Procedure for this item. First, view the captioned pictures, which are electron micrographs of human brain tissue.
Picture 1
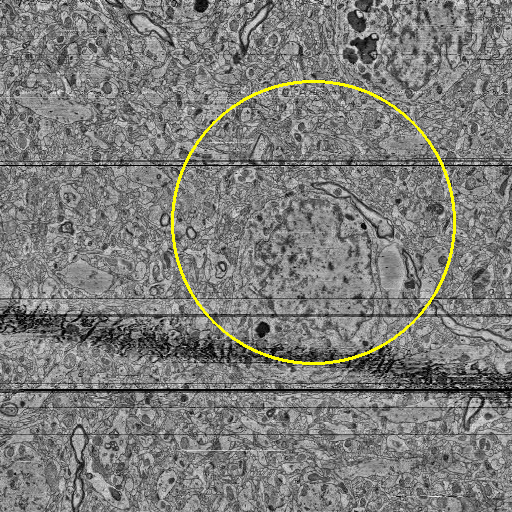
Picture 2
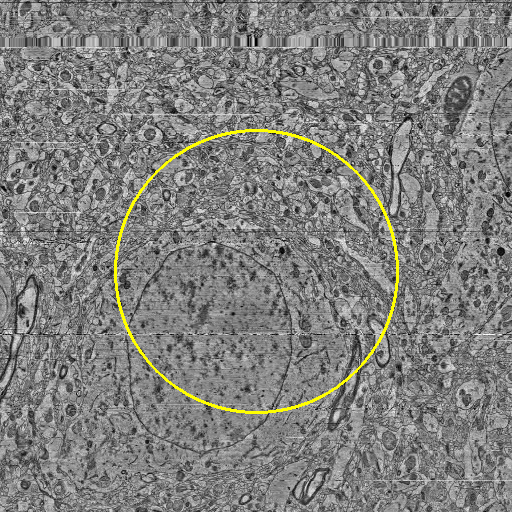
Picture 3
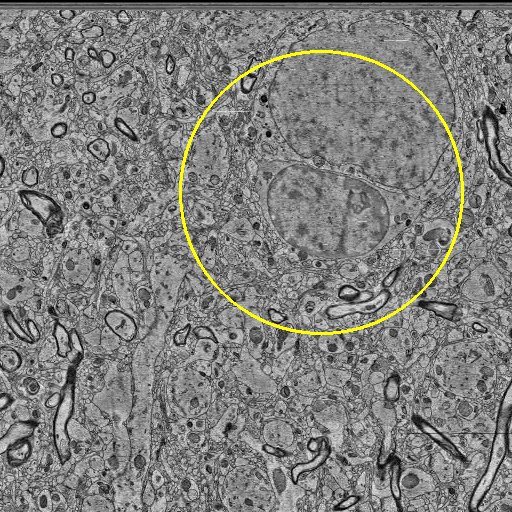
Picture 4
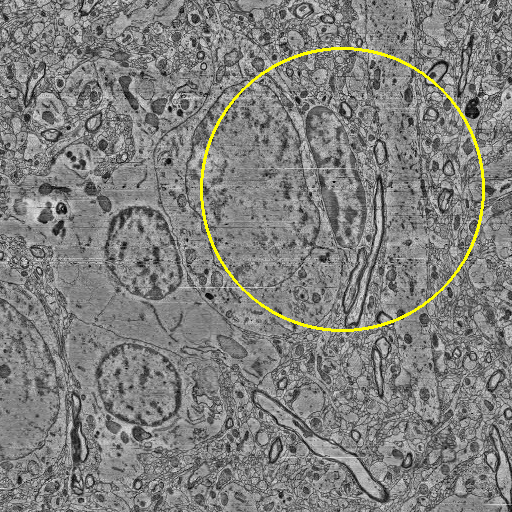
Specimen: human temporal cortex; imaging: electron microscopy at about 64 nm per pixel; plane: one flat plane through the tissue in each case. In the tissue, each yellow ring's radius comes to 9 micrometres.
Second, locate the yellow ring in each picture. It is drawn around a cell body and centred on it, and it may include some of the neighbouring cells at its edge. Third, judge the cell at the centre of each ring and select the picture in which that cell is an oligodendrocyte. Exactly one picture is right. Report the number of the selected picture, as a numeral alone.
3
